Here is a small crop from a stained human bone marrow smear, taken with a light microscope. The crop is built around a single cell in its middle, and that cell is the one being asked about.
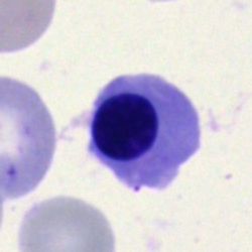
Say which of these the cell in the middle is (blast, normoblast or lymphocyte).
normoblast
